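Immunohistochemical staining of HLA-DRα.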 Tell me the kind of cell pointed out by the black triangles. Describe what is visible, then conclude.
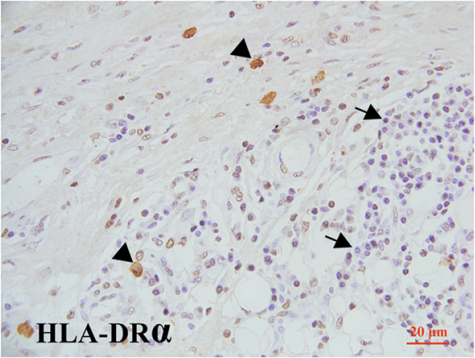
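The triangles point to isolated, fairly large cells with brown-stained cytoplasm. These cells lie scattered singly in a pale fibrous stroma. They are larger than the surrounding small blue-nucleated cells.
Macrophages.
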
